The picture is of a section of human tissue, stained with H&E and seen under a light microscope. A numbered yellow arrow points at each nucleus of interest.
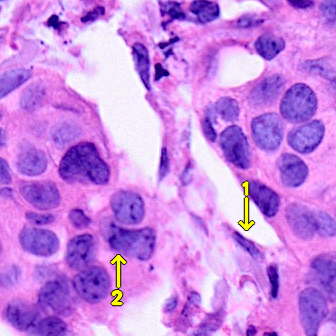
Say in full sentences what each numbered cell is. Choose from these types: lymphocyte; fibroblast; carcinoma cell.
Cell 1 is a fibroblast and cell 2 is a carcinoma cell.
